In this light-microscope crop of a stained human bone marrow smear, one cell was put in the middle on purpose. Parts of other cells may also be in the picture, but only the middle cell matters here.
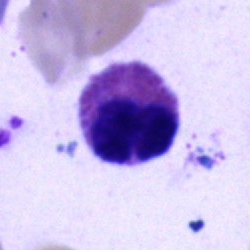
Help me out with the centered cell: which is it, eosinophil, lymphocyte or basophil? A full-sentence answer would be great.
The centrally located cell in the crop is an eosinophil.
